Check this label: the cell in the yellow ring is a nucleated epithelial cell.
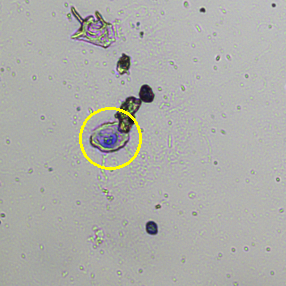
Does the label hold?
The label holds; the cell is a nucleated epithelial cell.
